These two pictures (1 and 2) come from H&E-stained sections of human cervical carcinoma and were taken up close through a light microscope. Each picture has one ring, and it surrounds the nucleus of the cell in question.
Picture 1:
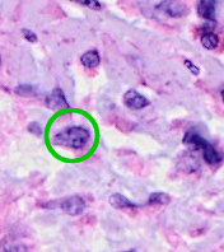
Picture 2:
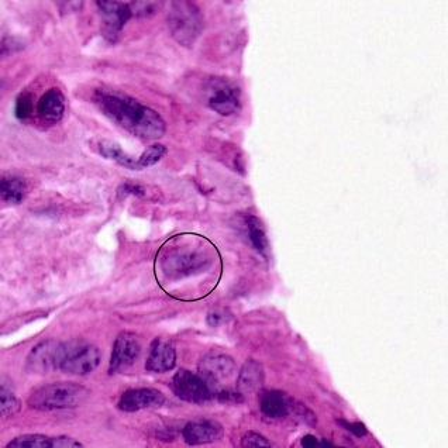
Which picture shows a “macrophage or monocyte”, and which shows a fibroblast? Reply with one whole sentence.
Picture 1 is of a “macrophage or monocyte”, and picture 2 is of a fibroblast.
